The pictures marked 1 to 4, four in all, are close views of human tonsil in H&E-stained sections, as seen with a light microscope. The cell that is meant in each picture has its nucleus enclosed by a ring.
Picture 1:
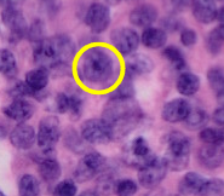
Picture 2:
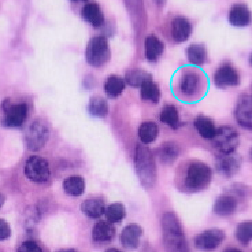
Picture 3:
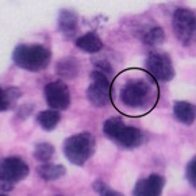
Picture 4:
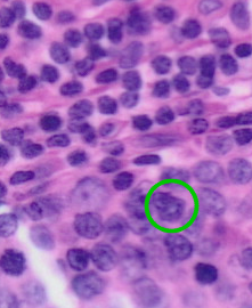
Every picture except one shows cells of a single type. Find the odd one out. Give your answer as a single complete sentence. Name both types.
The others show proliferating B cells, but picture 2 shows a plasma cell.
